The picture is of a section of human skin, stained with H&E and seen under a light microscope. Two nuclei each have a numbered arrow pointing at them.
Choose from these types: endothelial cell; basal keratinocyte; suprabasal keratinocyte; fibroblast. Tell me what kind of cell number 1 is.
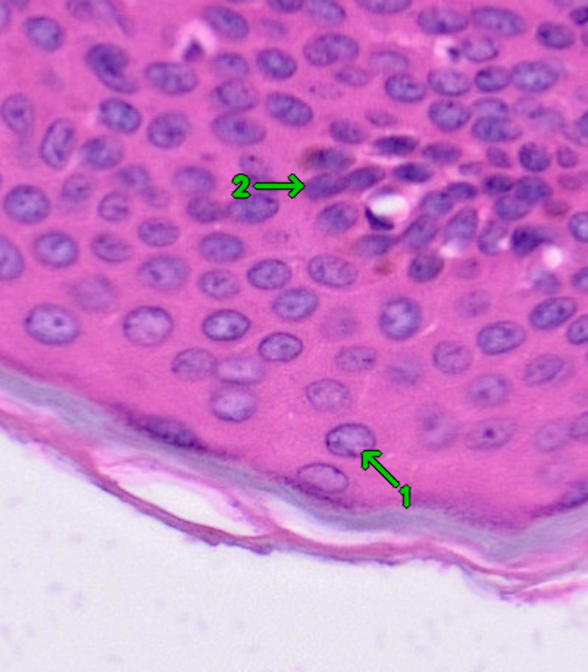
suprabasal keratinocyte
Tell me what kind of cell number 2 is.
basal keratinocyte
